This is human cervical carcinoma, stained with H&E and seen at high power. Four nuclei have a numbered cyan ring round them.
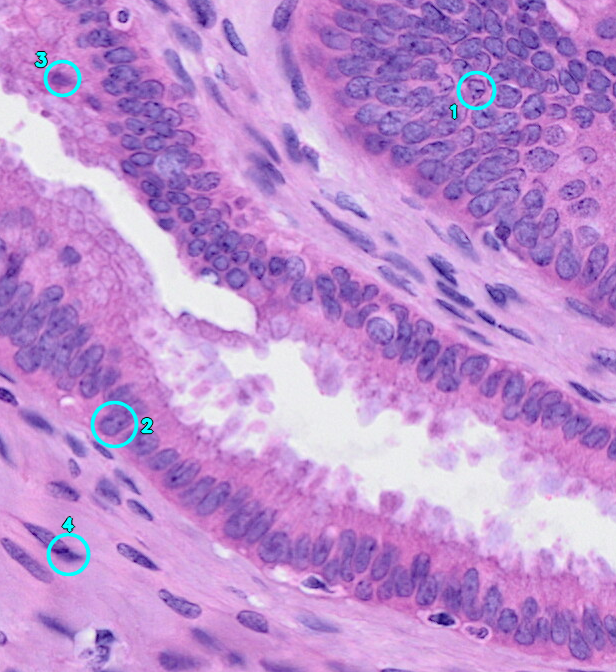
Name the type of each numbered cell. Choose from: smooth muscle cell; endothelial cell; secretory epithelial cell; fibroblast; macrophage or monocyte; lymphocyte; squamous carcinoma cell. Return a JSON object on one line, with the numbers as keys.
{"1": "secretory epithelial cell", "2": "secretory epithelial cell", "3": "secretory epithelial cell", "4": "fibroblast"}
